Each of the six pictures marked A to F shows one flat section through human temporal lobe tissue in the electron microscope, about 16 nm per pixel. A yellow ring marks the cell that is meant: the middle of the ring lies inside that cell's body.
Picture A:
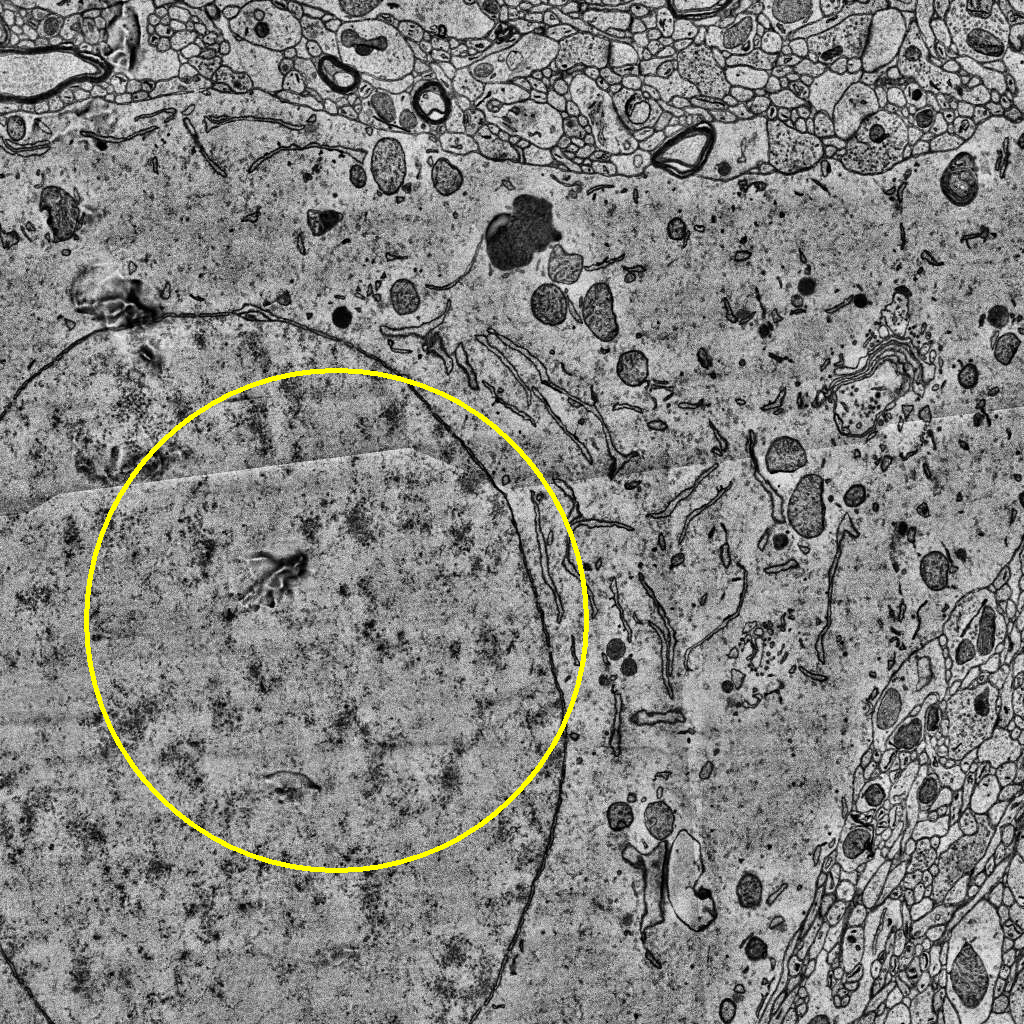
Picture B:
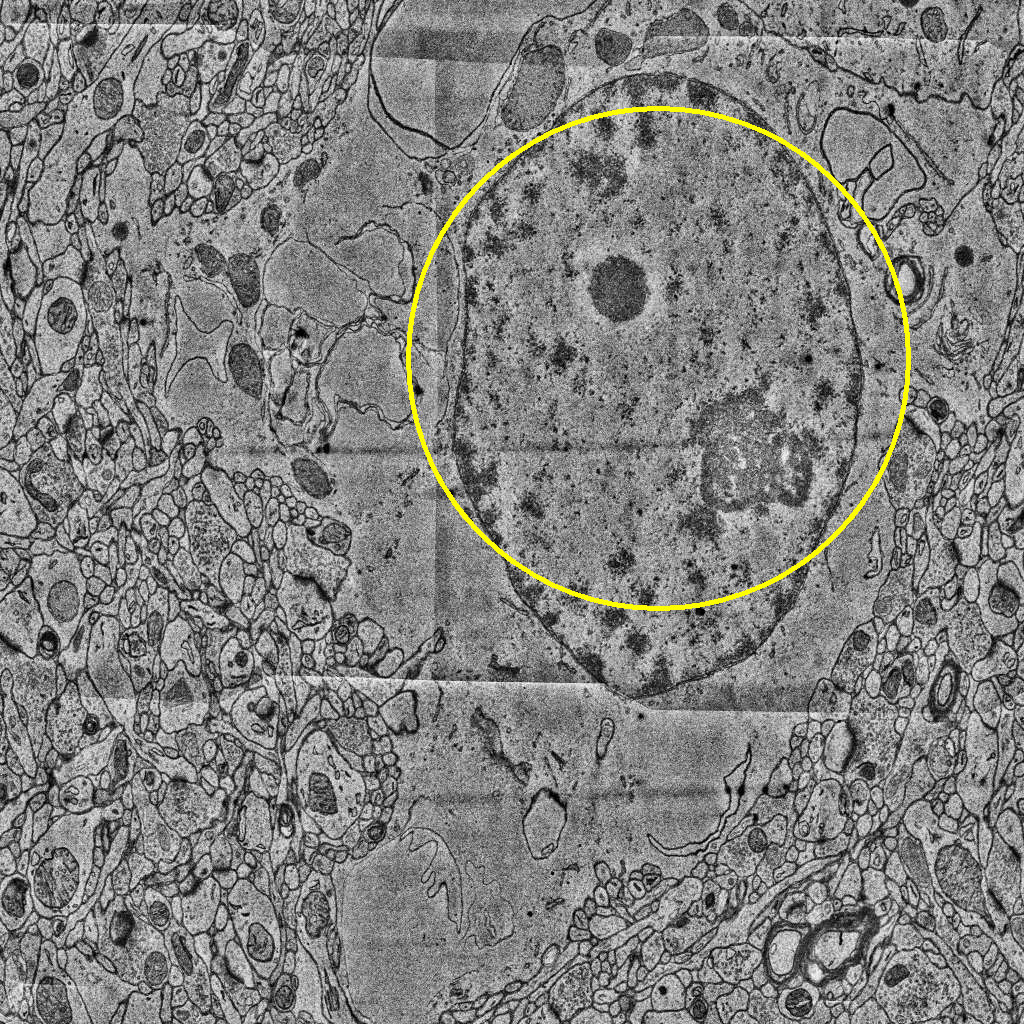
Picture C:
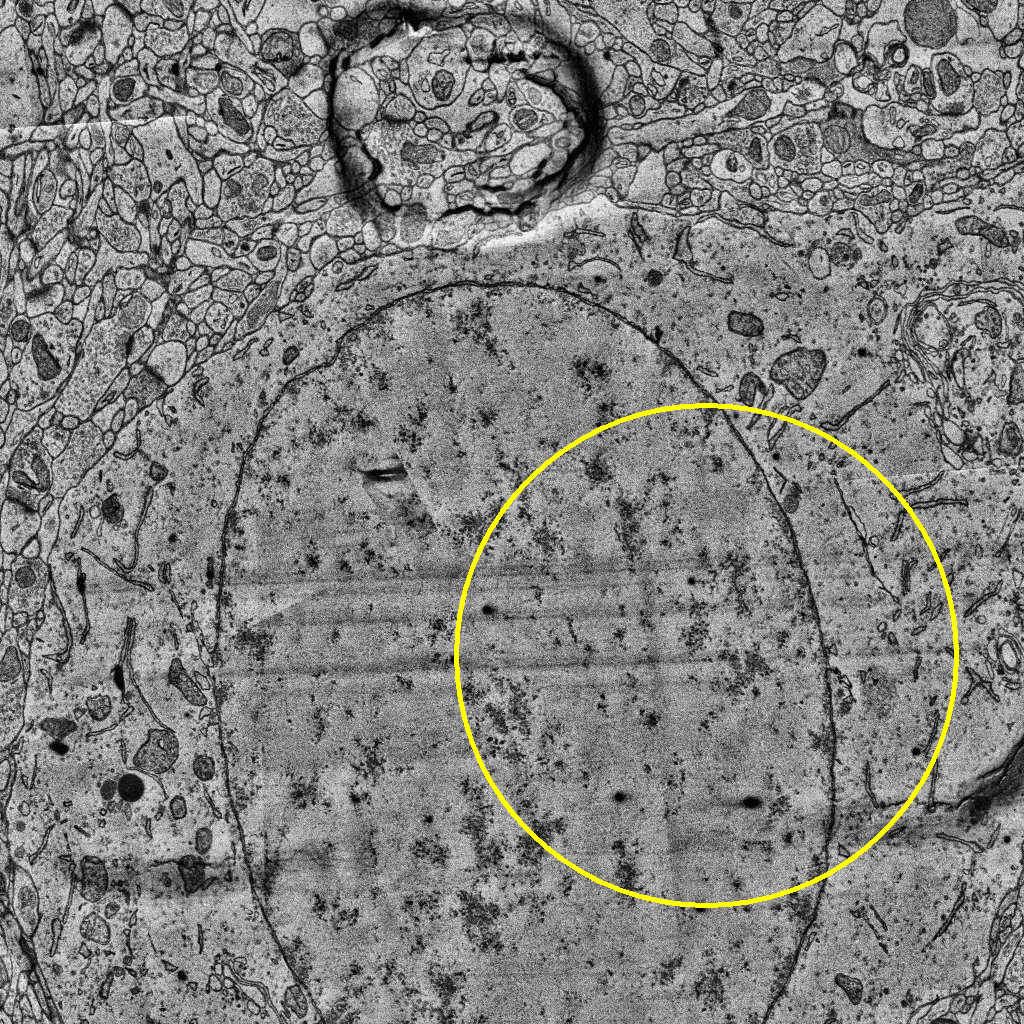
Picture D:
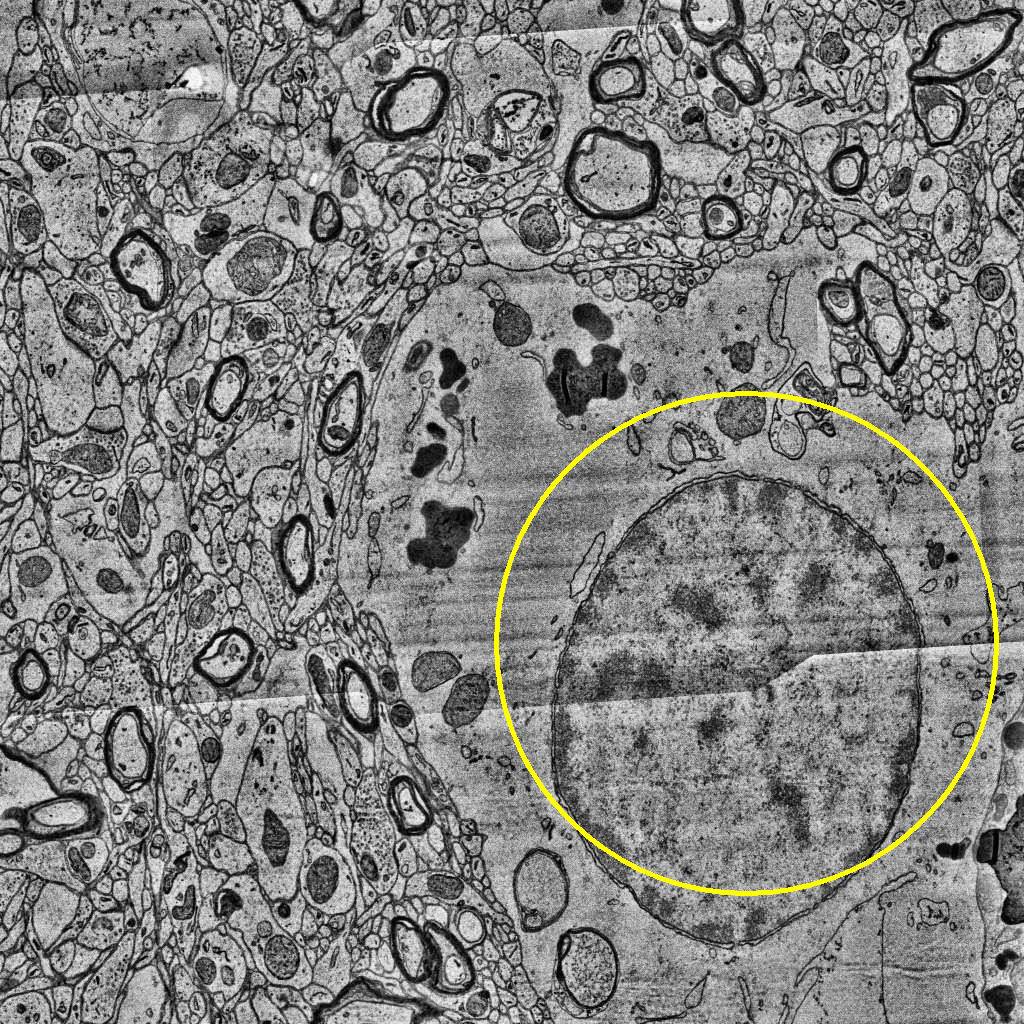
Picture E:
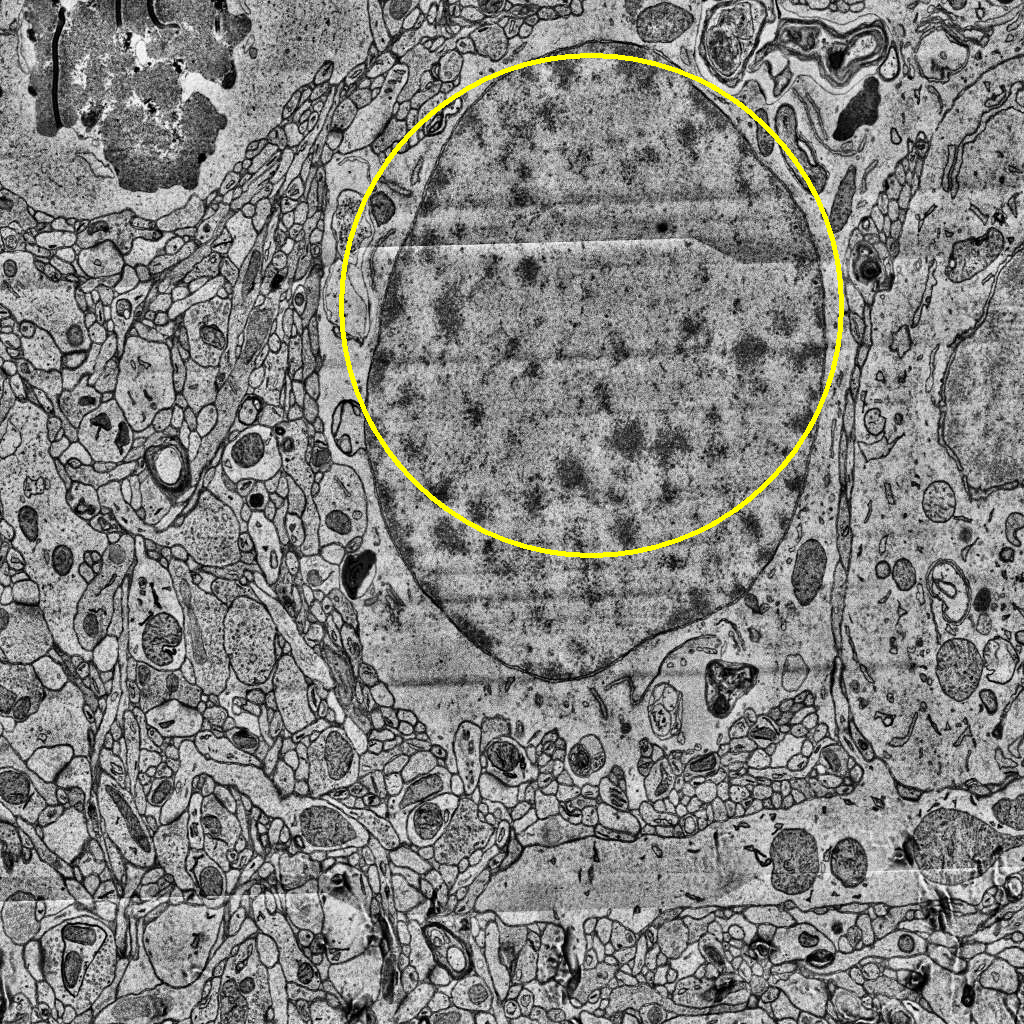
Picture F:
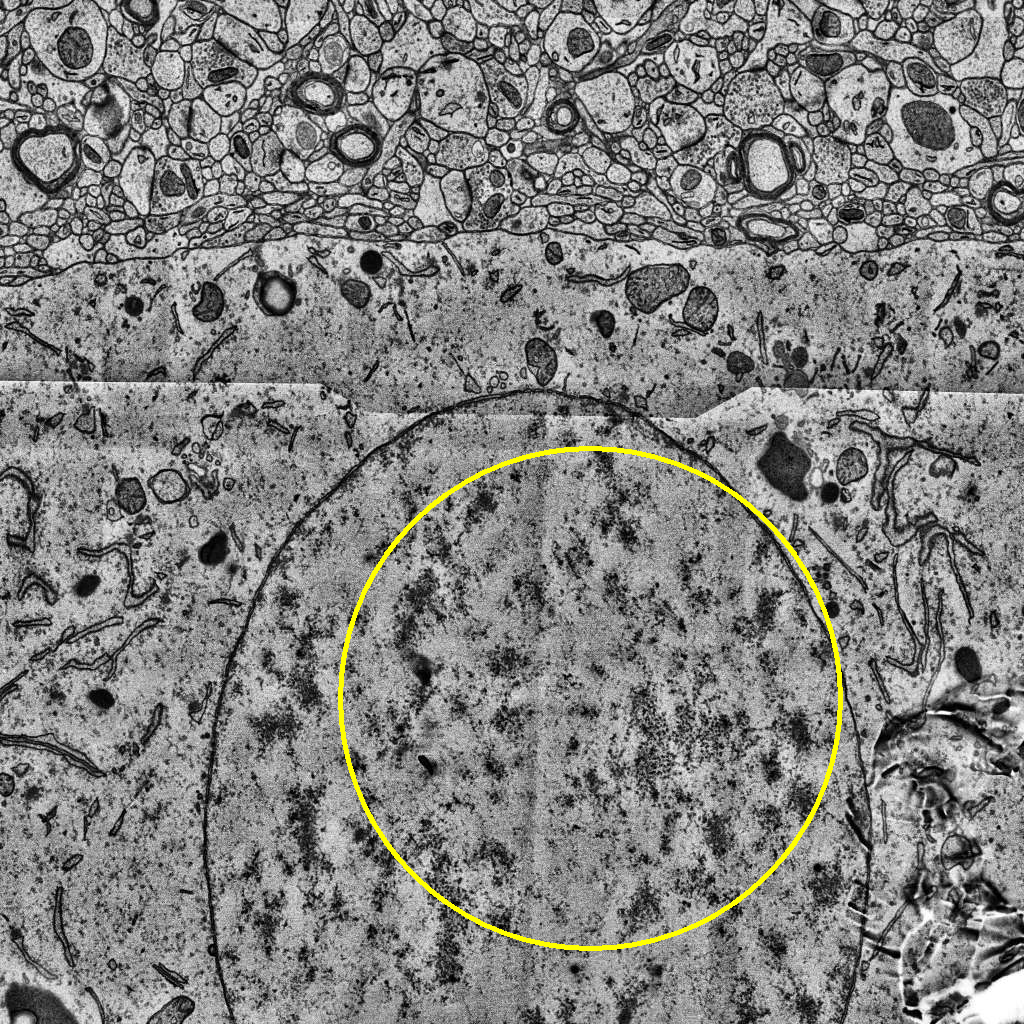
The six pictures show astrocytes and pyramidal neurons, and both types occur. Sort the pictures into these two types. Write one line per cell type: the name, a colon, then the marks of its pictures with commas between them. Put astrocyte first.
astrocyte: B, D, E
pyramidal neuron: A, C, F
